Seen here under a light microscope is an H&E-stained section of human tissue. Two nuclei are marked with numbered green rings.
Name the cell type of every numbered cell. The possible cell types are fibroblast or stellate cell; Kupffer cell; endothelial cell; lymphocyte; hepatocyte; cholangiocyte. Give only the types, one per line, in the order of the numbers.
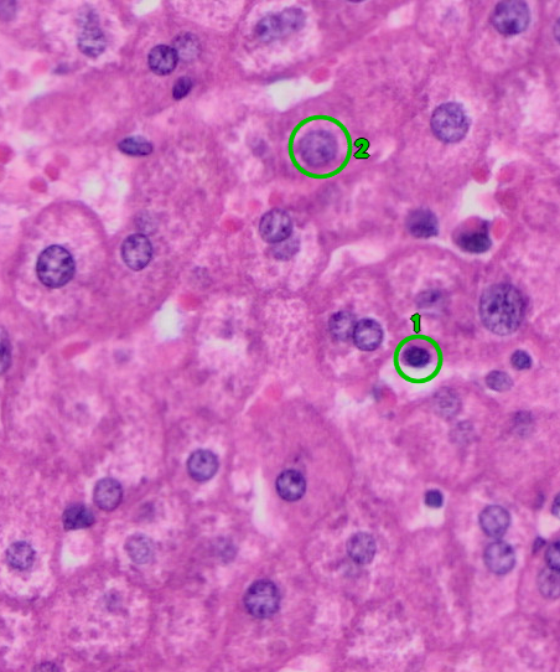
lymphocyte
hepatocyte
